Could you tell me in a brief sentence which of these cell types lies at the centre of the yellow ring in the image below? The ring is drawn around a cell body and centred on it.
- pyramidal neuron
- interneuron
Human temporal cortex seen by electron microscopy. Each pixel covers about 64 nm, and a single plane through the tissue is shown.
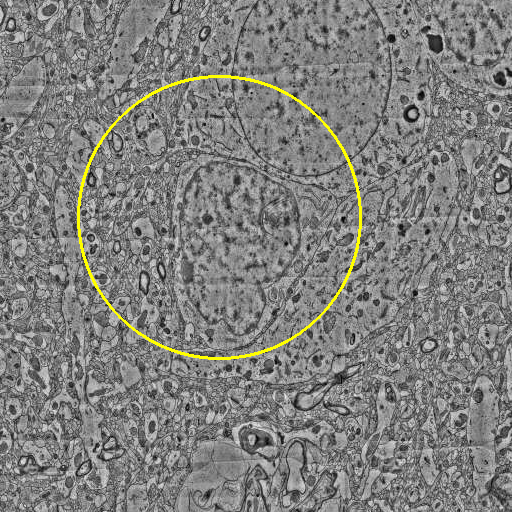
The cell centred in the ring is an interneuron.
